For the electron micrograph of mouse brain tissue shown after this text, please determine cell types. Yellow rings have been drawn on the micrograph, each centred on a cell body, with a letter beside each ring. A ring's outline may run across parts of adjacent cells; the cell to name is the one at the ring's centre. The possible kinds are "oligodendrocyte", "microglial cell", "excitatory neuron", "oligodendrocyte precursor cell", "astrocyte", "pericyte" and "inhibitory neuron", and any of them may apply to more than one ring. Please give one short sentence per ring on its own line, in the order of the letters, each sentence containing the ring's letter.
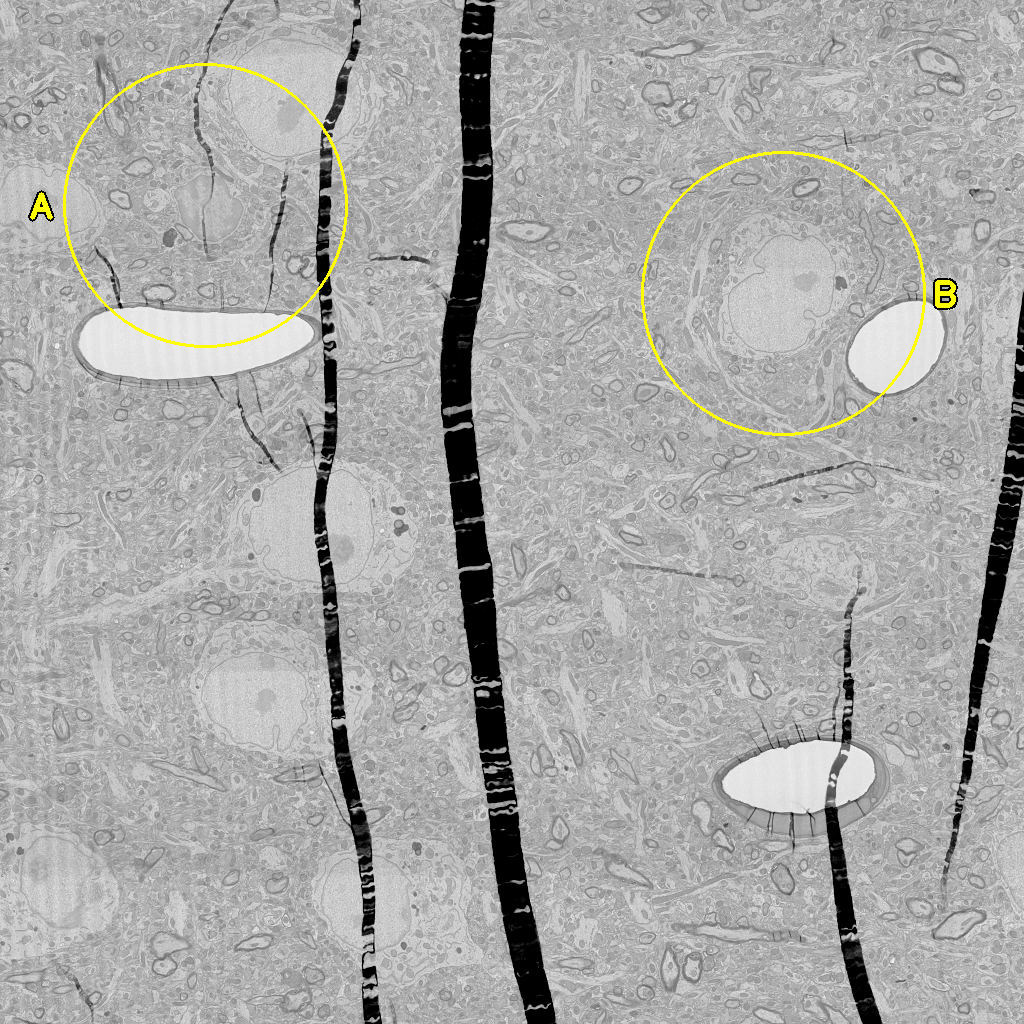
Ring A is set around a microglial cell.
Ring B is set around an excitatory neuron.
